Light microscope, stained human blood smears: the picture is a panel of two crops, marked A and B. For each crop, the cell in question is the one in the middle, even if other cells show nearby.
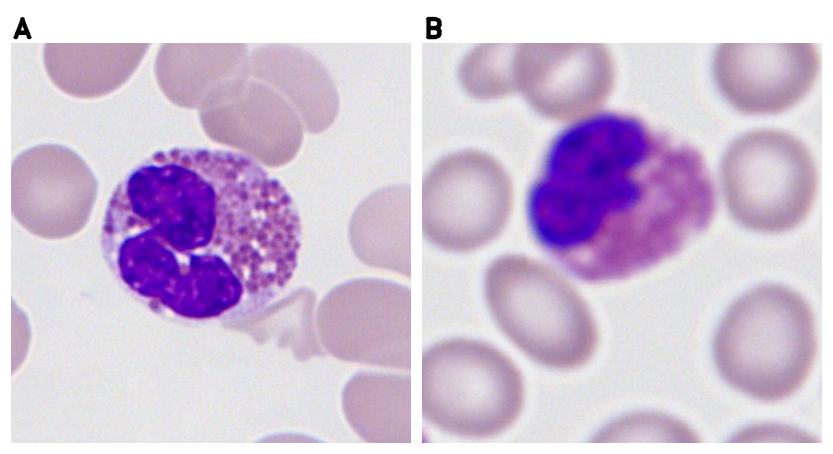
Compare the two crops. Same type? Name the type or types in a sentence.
Yes, the centre of both crops is taken up by eosinophils.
